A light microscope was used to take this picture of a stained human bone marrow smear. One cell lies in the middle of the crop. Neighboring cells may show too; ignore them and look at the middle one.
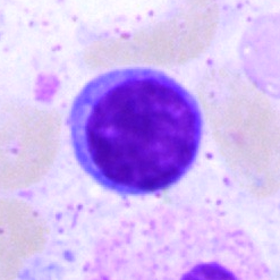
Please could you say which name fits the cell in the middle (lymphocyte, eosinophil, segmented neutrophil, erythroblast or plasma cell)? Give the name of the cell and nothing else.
lymphocyte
